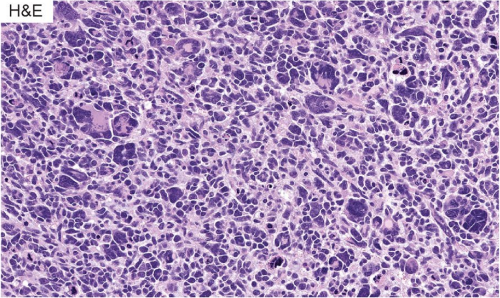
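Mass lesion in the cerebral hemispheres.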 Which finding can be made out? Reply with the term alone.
High cellularity.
